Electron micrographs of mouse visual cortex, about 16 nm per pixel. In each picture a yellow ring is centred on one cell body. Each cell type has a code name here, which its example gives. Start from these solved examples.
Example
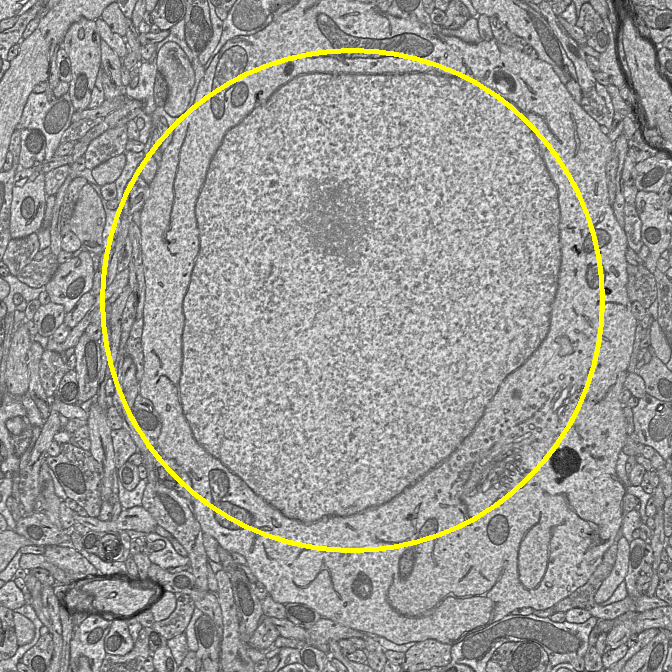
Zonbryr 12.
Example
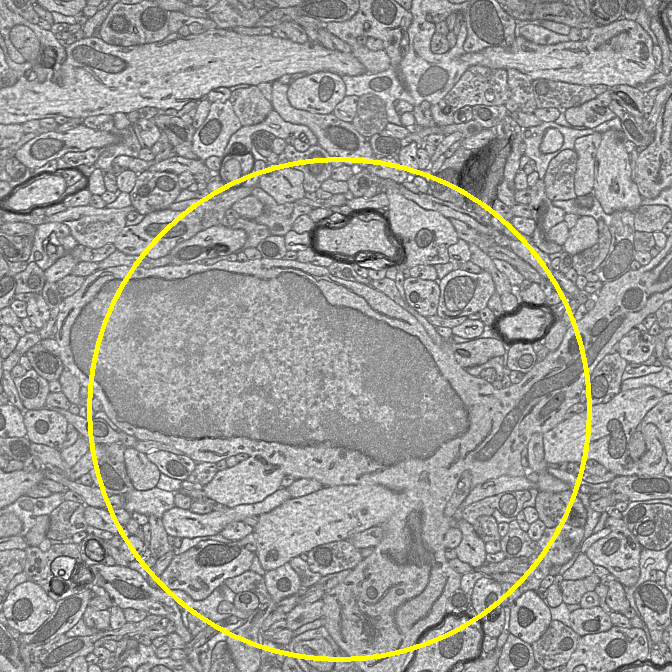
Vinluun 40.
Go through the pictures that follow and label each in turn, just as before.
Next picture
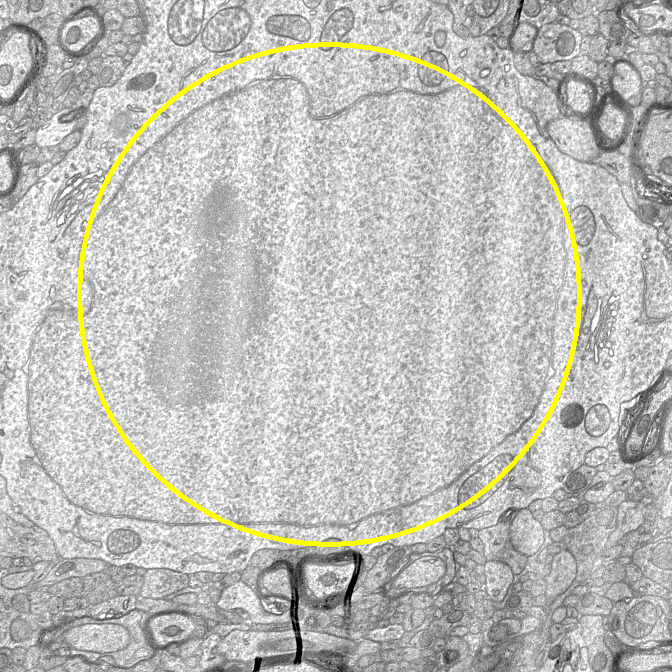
Zonbryr 12.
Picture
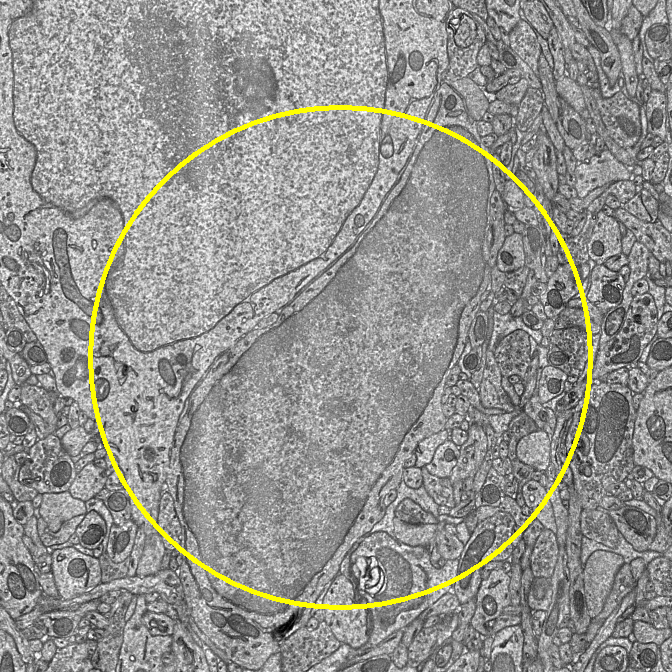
Vinluun 40.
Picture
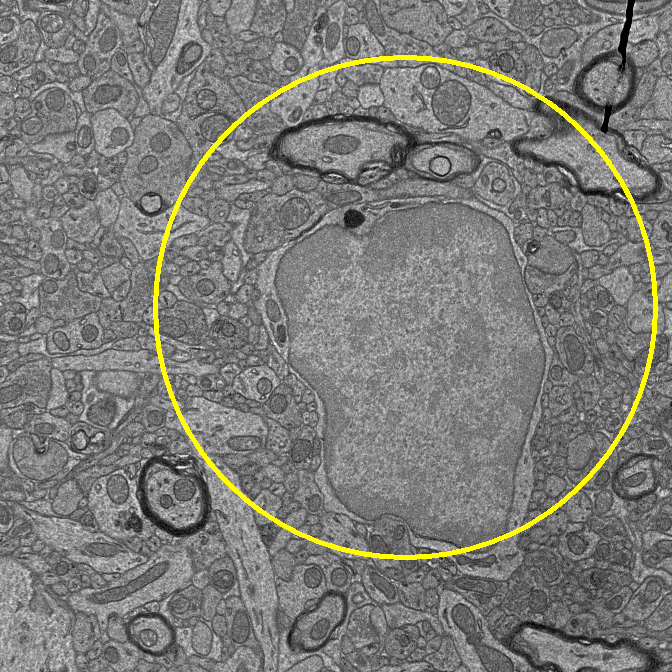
Vinluun 40.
